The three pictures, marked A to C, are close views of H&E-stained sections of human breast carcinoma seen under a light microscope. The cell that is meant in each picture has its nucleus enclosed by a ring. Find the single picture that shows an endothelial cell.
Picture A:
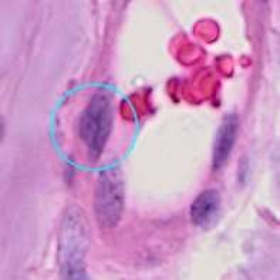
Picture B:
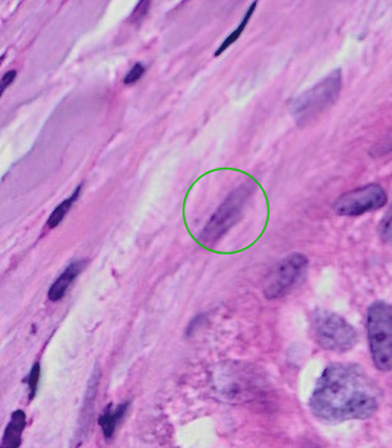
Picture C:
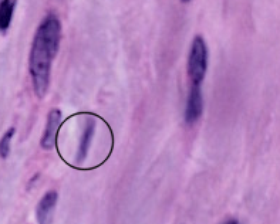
A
